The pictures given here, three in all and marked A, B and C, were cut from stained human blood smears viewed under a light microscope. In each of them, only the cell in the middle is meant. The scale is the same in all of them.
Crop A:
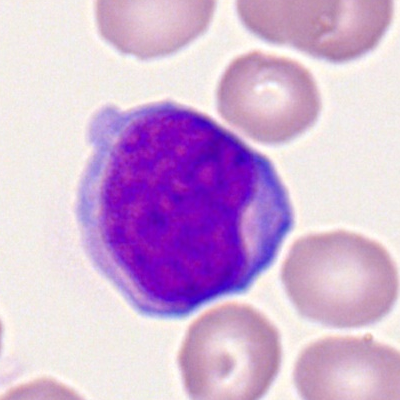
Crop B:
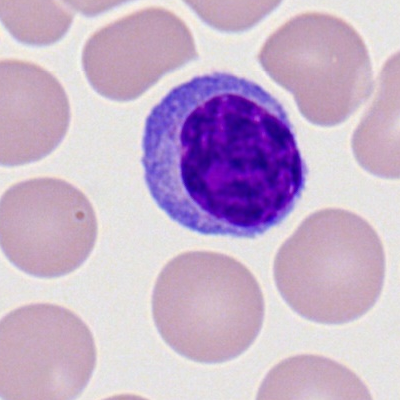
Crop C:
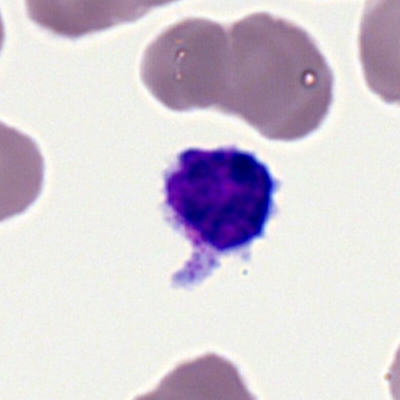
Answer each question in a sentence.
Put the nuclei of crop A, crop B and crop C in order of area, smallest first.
Smallest first: C, B, A.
